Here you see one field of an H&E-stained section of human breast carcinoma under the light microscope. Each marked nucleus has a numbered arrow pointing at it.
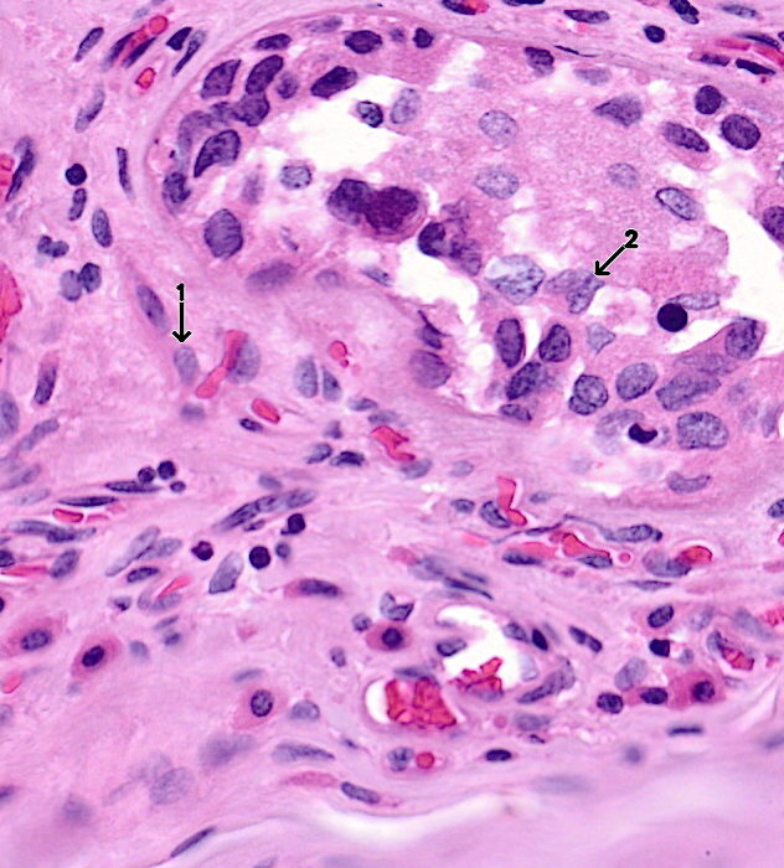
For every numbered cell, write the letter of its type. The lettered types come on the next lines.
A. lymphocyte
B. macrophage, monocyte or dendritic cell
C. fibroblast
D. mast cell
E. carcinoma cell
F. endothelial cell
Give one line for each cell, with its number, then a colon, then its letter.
1: F
2: E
